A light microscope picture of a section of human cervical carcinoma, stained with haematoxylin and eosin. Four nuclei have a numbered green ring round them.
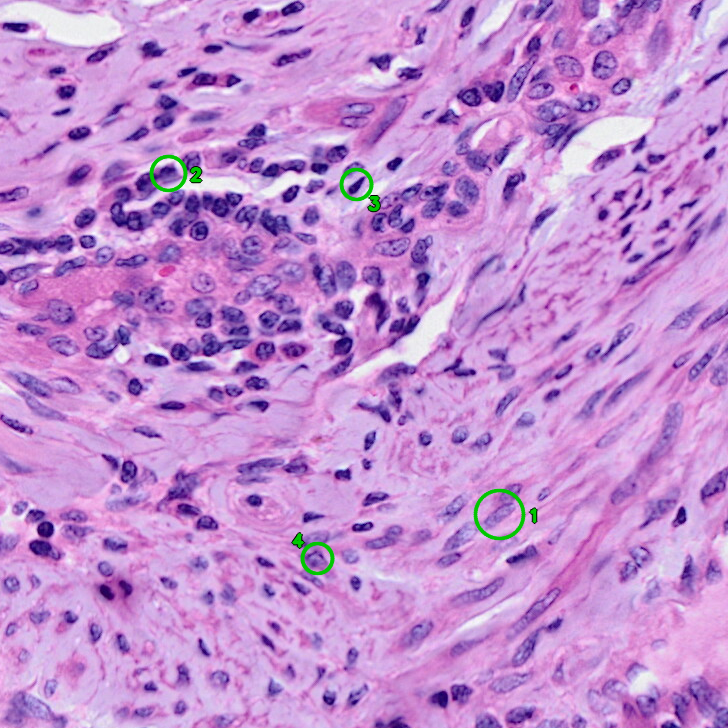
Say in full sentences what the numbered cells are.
Cells 1 and 4 are smooth muscle cells. Cells 2 and 3 are lymphocytes.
